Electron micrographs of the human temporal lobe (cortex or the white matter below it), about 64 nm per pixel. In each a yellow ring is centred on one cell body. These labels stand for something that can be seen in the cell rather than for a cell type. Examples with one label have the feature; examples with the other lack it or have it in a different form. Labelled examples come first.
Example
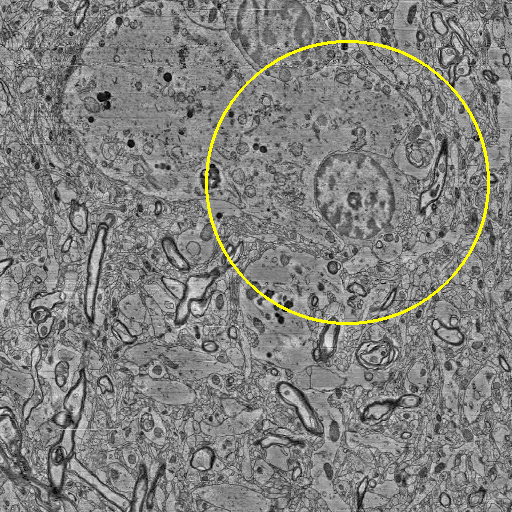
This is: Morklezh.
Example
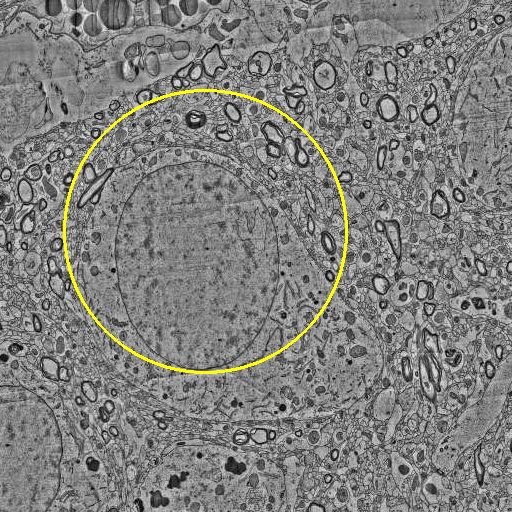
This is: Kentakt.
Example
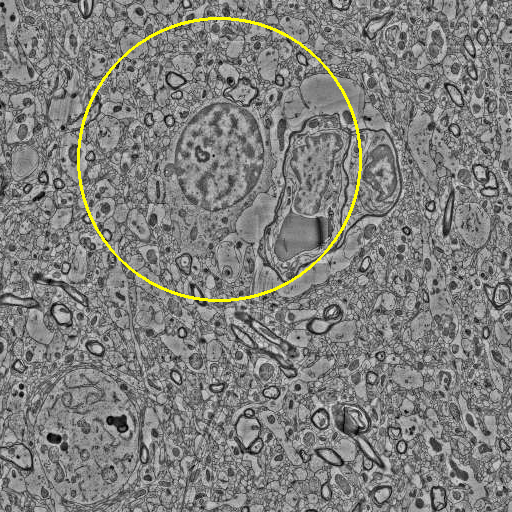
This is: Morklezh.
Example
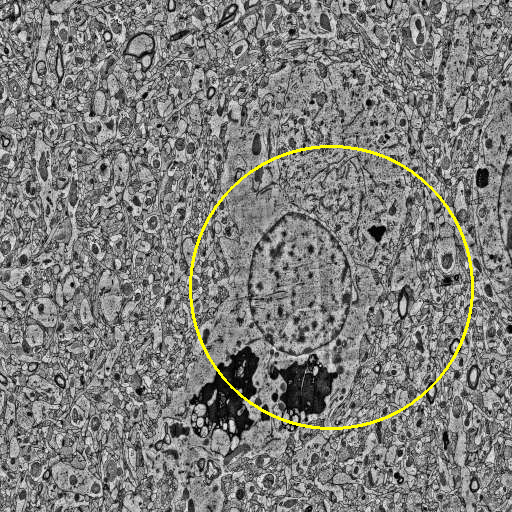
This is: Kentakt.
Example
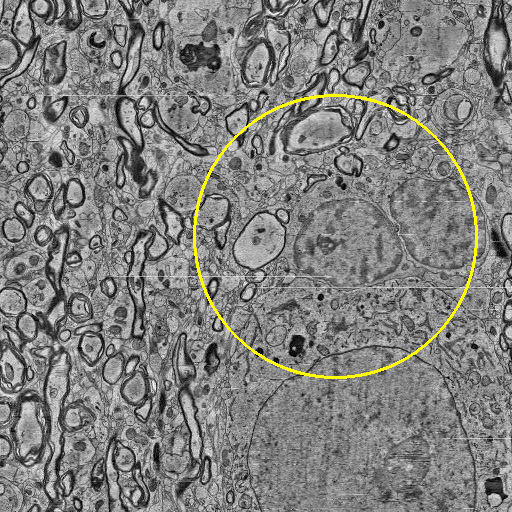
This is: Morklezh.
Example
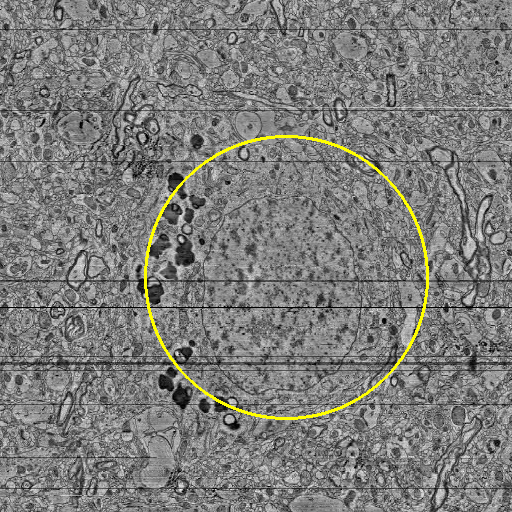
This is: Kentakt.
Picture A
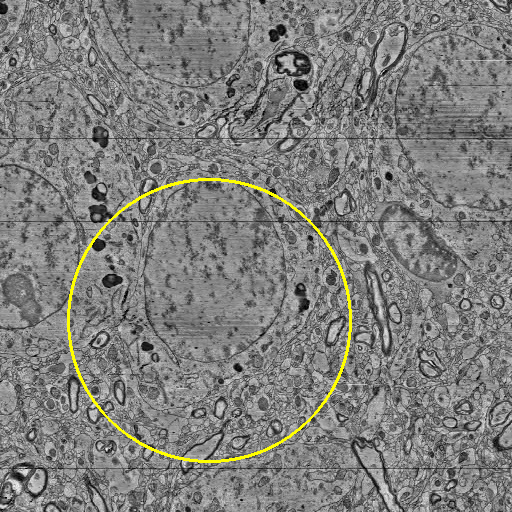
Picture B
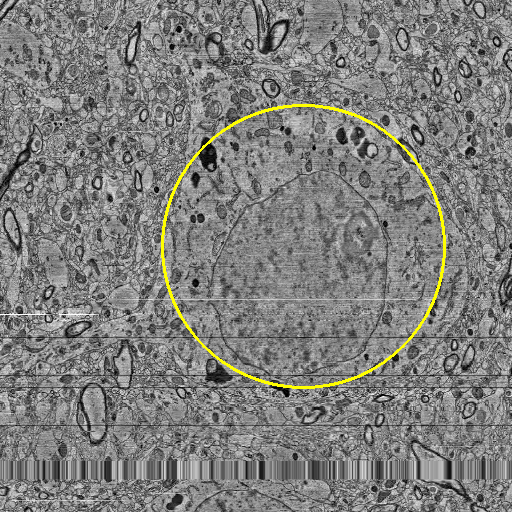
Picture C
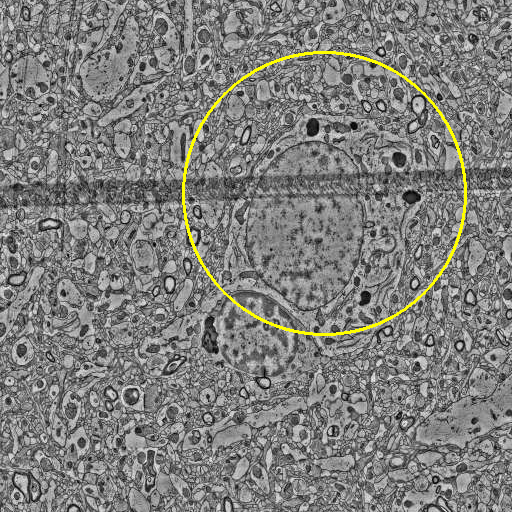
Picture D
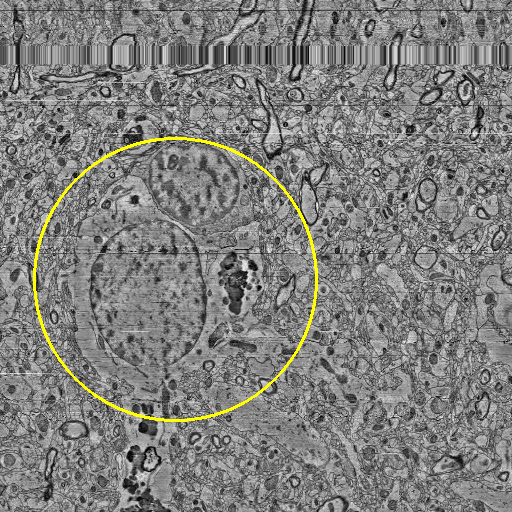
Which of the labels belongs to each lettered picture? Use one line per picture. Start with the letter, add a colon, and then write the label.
A: Kentakt.
B: Morklezh.
C: Kentakt.
D: Kentakt.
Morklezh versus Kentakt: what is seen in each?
Morklezh: nucleolus seen; Kentakt: no nucleolus seen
